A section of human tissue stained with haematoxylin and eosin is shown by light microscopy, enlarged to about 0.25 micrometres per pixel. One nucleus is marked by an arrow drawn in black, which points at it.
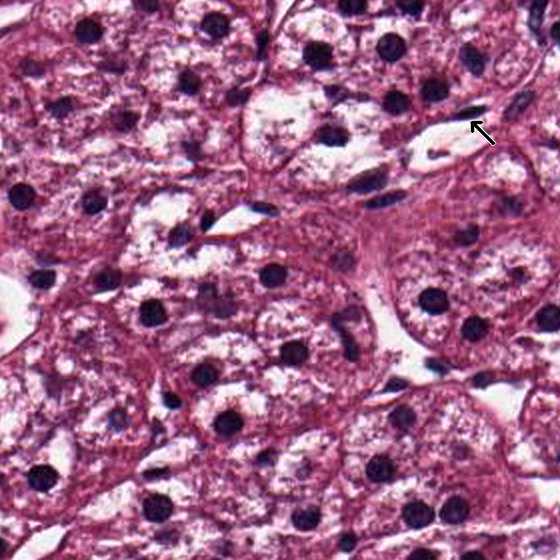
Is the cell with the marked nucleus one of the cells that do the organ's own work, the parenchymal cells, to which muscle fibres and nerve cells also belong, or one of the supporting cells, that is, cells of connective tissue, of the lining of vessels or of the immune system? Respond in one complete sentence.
The cell to which the marked nucleus belongs is a supporting cell.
